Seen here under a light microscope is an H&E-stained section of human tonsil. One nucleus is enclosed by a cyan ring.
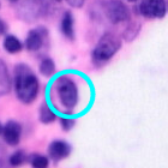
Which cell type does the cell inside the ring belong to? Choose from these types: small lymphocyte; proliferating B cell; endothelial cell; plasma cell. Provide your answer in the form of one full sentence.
It is as a proliferating B cell that the cell inside the ring is recorded.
